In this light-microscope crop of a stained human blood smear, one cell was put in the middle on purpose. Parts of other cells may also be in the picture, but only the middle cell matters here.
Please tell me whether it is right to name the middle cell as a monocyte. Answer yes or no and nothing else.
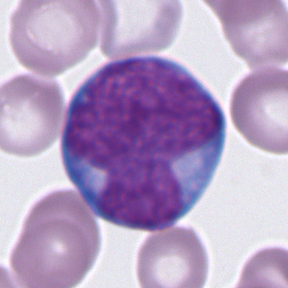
no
